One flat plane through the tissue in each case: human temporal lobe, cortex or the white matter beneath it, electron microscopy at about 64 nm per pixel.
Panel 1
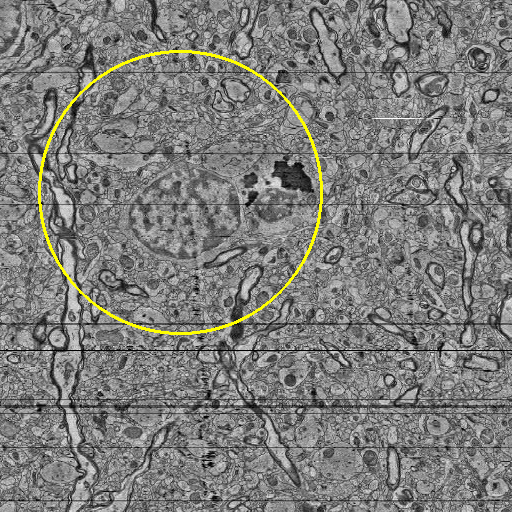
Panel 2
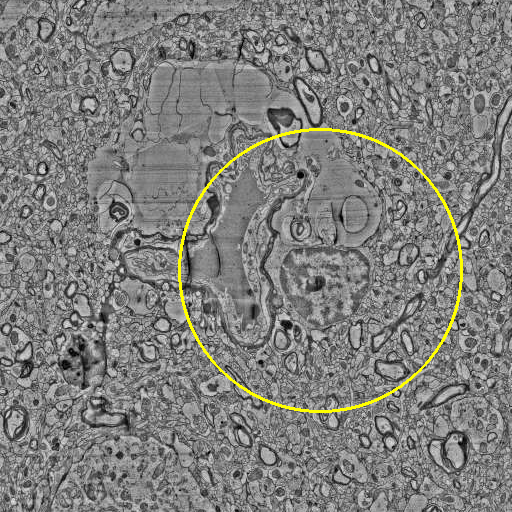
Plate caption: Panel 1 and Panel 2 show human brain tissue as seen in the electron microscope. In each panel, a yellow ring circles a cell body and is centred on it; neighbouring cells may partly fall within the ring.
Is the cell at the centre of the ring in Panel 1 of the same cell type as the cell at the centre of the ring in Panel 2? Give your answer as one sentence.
Yes, the two cells are of the same type.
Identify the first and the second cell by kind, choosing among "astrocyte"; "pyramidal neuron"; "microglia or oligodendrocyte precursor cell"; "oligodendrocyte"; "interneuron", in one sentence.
The ring centre holds an oligodendrocyte in each of the two pictures.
